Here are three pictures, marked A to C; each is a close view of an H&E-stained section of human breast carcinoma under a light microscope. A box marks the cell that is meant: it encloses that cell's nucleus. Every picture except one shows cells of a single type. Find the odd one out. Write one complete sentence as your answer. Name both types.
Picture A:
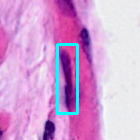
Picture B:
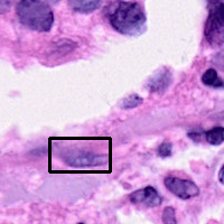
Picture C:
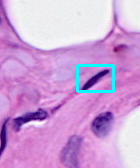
Picture C differs, because its cell is a fibroblast and the rest are endothelial cells.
